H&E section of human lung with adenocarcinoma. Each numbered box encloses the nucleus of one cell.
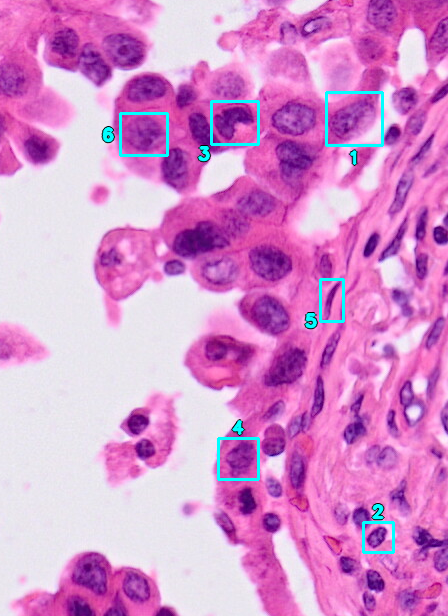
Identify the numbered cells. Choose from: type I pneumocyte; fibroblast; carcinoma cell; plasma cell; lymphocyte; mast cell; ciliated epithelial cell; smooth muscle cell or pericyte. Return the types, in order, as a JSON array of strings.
["carcinoma cell", "lymphocyte", "carcinoma cell", "carcinoma cell", "fibroblast", "carcinoma cell"]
